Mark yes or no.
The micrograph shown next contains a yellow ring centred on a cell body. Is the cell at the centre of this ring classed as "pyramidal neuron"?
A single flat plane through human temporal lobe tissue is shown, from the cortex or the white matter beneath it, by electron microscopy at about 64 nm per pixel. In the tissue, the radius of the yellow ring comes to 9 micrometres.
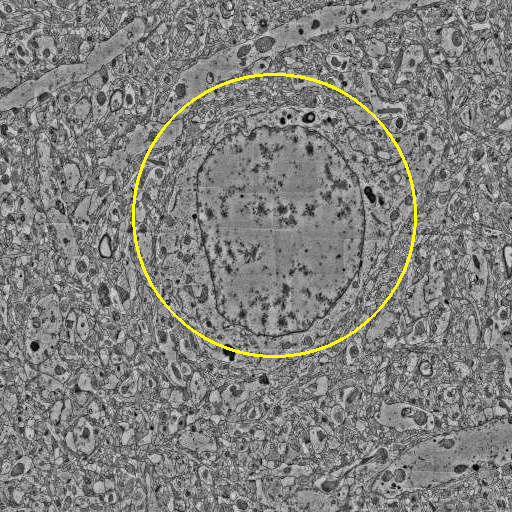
yes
